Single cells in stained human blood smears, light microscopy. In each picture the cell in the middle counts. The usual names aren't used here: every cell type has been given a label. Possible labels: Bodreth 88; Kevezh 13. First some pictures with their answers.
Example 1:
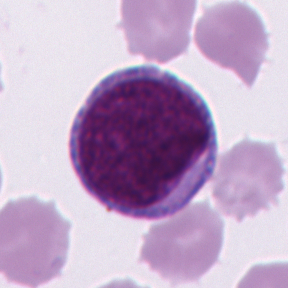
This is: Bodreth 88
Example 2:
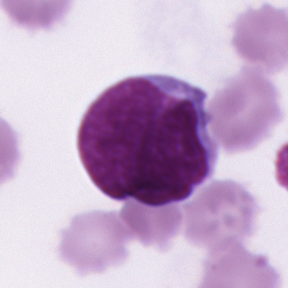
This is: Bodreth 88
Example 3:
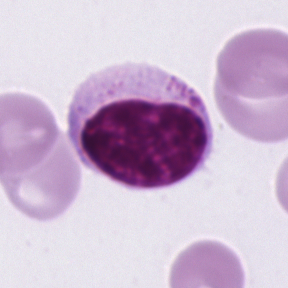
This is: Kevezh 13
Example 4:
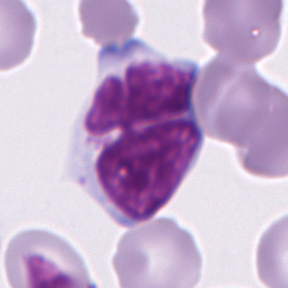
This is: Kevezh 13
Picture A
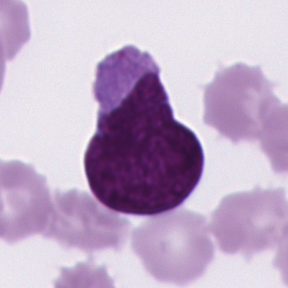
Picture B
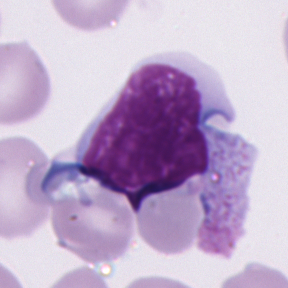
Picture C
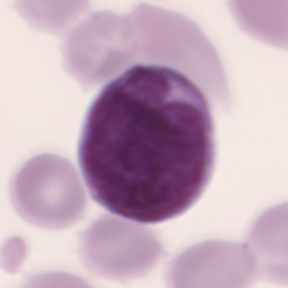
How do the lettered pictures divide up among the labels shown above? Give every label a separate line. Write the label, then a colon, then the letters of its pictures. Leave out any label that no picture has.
Bodreth 88: A, C
Kevezh 13: B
